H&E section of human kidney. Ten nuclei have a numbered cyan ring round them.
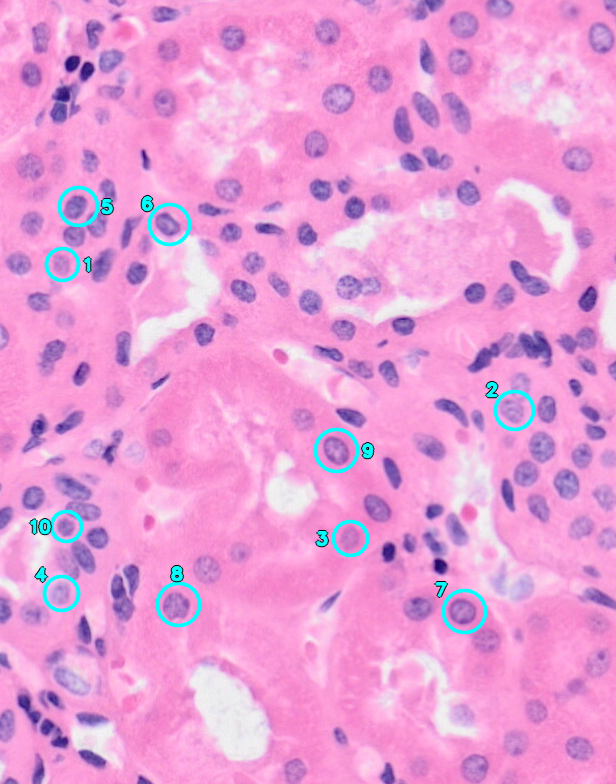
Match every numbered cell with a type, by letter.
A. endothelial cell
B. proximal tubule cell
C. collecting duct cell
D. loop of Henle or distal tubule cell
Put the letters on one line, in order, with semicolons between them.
D; D; B; C; D; D; B; B; B; C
